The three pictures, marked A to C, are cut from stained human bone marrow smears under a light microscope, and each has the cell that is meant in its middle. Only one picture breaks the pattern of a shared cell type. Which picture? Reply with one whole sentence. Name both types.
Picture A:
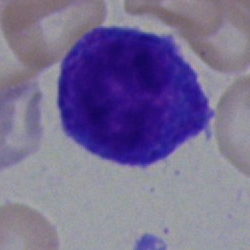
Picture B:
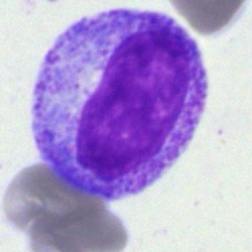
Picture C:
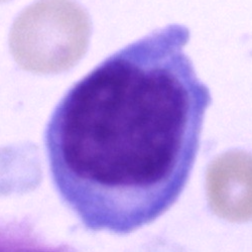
Unlike the rest, which show promyelocytes, picture C shows a blast.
